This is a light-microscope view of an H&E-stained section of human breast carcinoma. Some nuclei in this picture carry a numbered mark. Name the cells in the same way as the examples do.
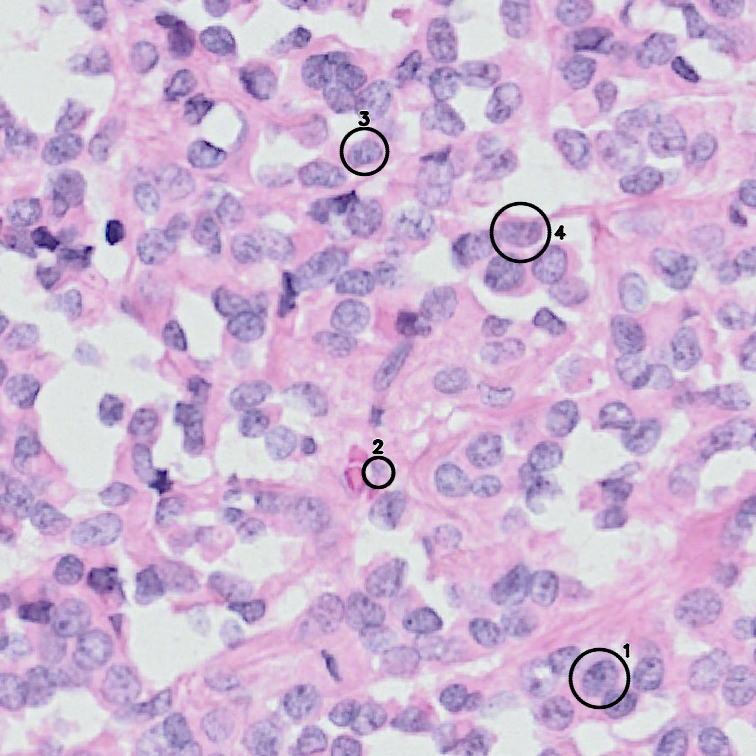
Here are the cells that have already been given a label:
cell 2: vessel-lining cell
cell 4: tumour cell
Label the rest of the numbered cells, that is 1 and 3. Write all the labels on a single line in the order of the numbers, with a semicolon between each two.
tumour cell; tumour cell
